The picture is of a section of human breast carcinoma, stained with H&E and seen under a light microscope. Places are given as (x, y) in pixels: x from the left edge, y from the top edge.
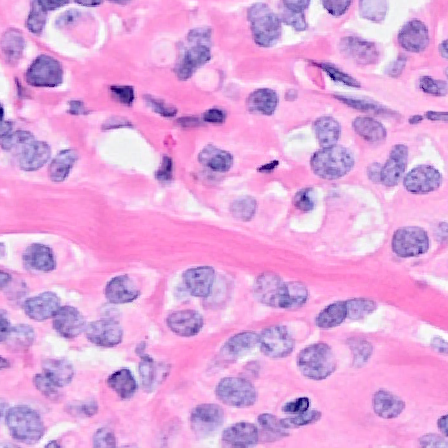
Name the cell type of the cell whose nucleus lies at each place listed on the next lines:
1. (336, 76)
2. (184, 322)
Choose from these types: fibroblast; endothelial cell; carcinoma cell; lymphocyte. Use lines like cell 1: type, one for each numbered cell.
cell 1: endothelial cell
cell 2: carcinoma cell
